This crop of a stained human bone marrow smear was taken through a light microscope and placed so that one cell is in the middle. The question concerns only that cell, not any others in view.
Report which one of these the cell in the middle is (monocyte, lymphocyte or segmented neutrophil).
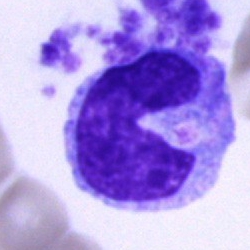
monocyte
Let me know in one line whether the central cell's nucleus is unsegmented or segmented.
Key feature: a single compact nucleus, round, oval or kidney-shaped.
